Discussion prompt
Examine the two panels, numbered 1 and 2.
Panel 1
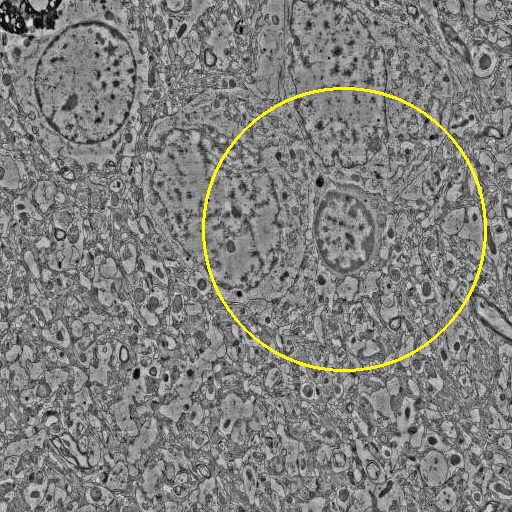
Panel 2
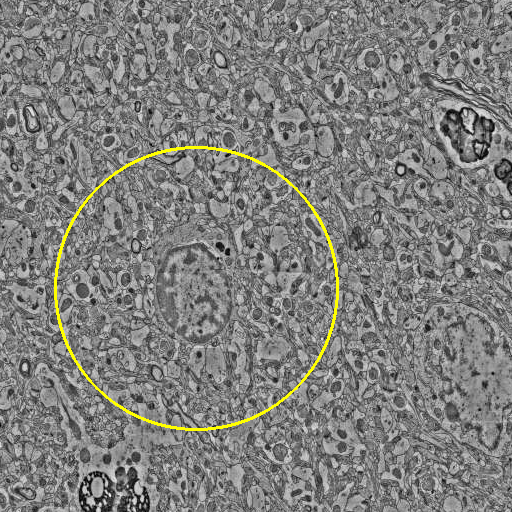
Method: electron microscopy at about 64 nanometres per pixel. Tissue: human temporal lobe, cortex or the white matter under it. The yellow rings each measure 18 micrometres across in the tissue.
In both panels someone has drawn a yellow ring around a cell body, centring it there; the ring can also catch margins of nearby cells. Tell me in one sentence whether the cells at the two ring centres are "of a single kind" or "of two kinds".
Taken together, the two cells centred in the rings of Panels 1 and 2 are of a single kind.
